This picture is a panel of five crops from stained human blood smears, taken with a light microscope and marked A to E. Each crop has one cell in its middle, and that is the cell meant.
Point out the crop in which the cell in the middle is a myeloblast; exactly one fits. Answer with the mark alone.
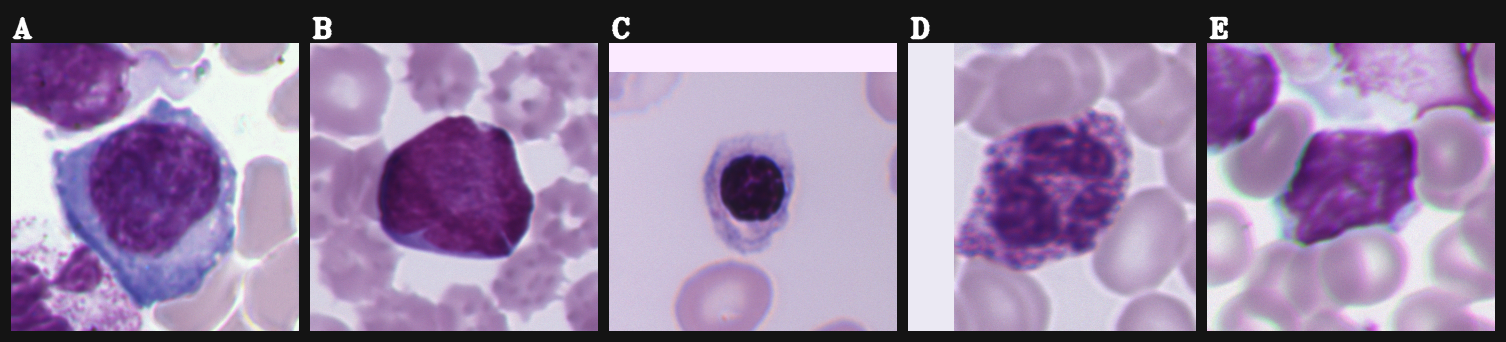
B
